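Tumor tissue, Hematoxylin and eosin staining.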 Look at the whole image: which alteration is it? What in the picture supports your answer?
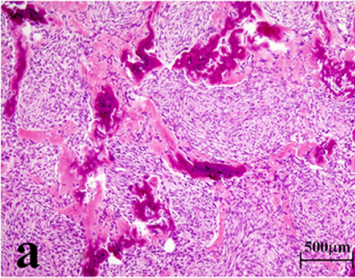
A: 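Sheets of densely packed spindle cells fill most of the field. Little stroma lies between the crowded nuclei. So: high cellularity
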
